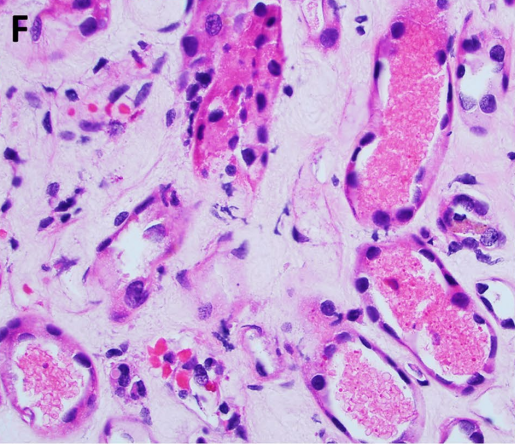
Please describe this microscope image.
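These are renal medullary tubules cut in cross and oblique section, several of whose lumina are packed with pale pink casts. The casts are made of faint, rounded outlines of red cells that have lost their bright staining. The tubules are lined by flattened epithelium with dark nuclei. A few intact, bright red cells lie in small vessels of the interstitium between them.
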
